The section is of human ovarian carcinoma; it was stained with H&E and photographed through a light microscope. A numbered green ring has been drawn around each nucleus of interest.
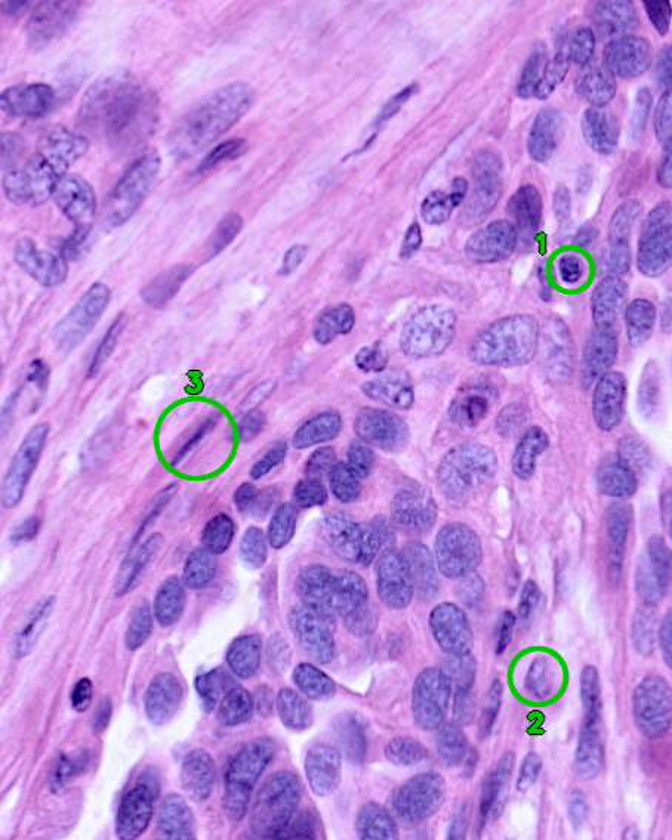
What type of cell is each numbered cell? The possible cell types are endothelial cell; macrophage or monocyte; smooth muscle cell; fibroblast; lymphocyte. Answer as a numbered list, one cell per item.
1. lymphocyte
2. fibroblast
3. fibroblast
